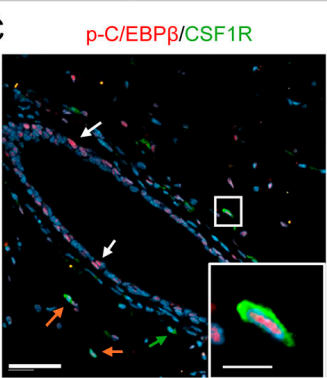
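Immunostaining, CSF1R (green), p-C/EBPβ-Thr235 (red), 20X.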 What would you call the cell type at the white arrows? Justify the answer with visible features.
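The white arrows point to a band of closely packed nuclei, several pink-red, lining a dark lumen. The band lacks green staining.
Answer: epithelial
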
